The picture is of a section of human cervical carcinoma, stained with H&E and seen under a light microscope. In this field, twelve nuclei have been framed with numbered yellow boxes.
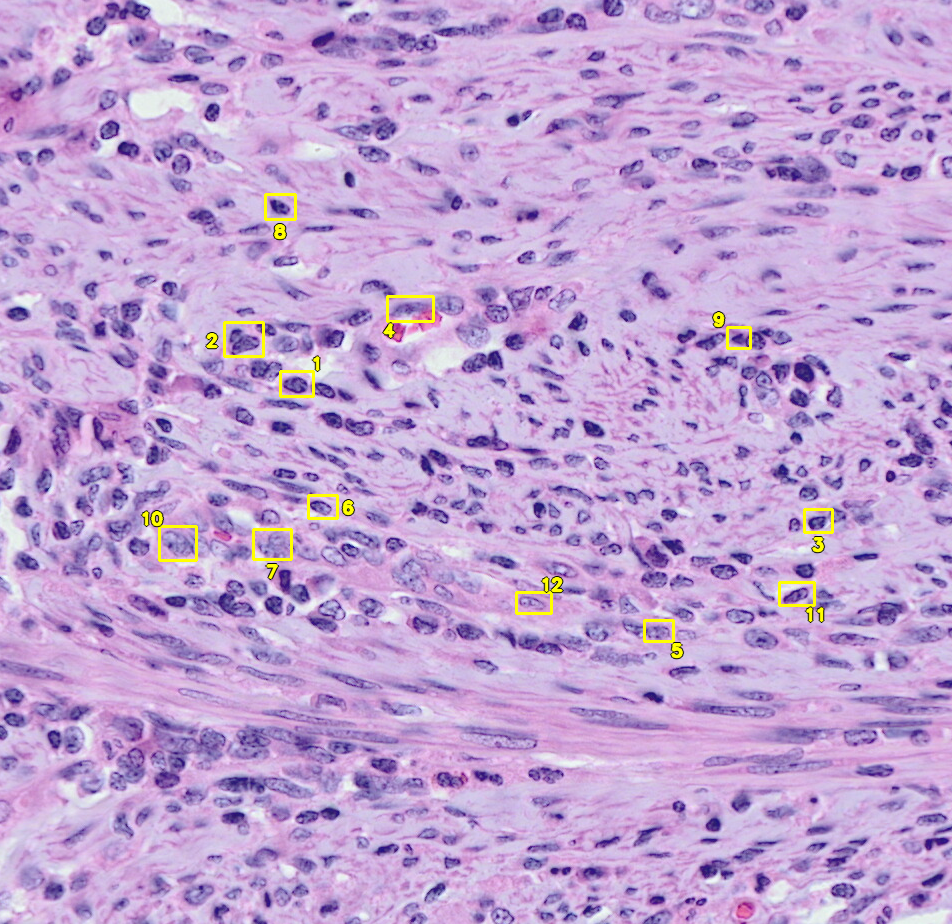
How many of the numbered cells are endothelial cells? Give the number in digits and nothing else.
5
